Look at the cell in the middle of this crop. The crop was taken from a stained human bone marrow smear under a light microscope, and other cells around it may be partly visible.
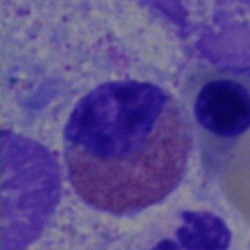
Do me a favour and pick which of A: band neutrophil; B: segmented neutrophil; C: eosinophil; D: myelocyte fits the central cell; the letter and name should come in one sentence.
The middle of the crop holds an eosinophil, which points to option C.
